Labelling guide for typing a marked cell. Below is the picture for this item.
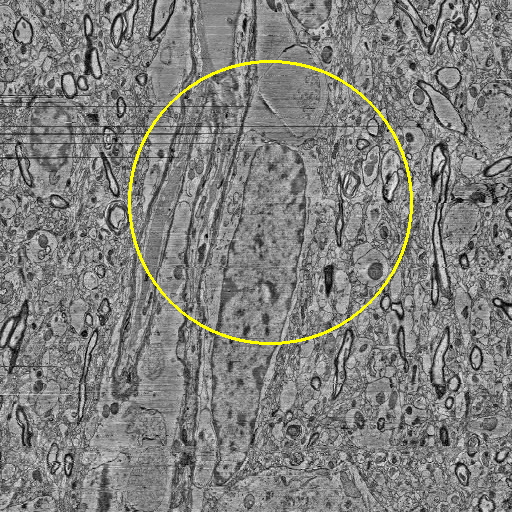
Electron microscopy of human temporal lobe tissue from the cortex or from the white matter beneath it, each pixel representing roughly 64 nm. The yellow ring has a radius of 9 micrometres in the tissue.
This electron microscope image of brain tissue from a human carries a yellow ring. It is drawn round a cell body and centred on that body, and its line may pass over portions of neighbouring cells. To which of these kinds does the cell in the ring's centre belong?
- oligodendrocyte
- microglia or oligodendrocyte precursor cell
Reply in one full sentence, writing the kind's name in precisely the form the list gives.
Here we have a microglial cell or oligodendrocyte precursor cell at the centre of the yellow ring in the picture.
